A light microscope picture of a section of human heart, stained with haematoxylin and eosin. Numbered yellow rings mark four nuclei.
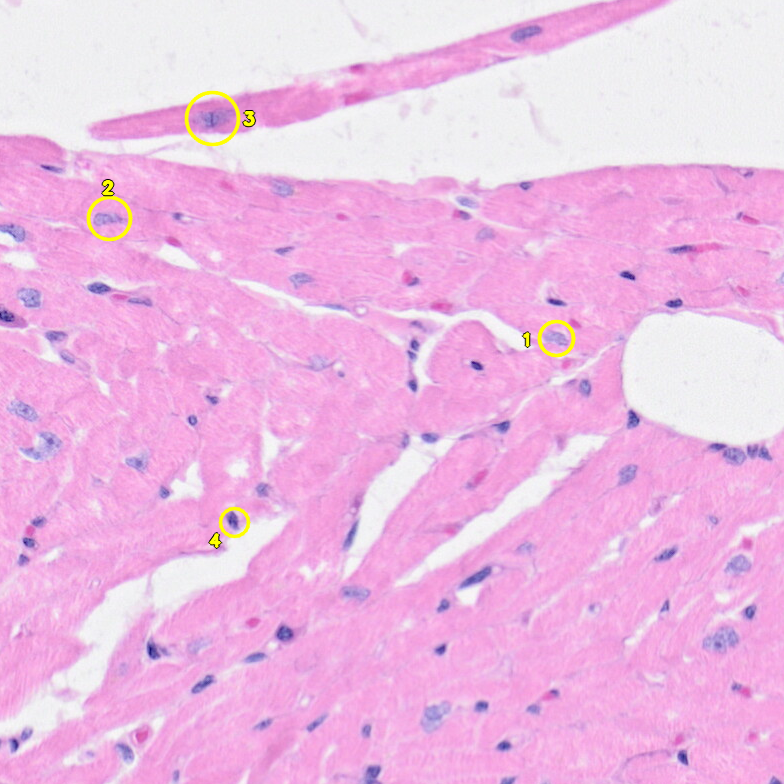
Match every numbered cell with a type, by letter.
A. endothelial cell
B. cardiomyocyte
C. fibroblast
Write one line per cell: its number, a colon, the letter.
1: B
2: B
3: B
4: A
